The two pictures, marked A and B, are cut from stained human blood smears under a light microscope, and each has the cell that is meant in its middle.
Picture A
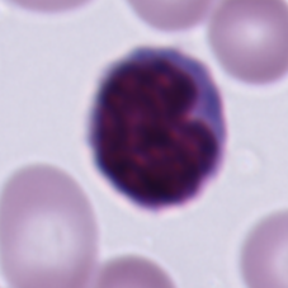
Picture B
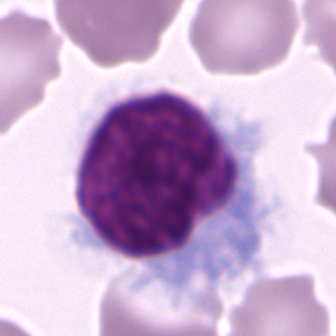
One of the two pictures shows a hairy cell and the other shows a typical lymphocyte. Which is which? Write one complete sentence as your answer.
Picture A is of a typical lymphocyte, and picture B is of a hairy cell.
